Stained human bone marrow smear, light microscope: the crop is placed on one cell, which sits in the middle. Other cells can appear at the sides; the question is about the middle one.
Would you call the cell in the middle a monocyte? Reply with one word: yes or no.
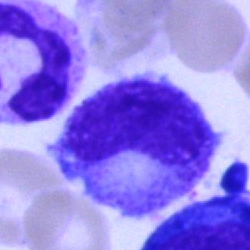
no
